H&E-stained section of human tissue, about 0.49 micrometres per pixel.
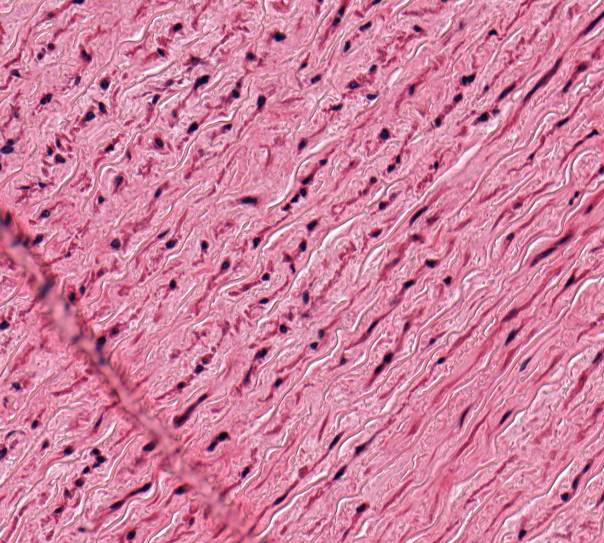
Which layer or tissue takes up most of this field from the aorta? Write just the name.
tunica media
